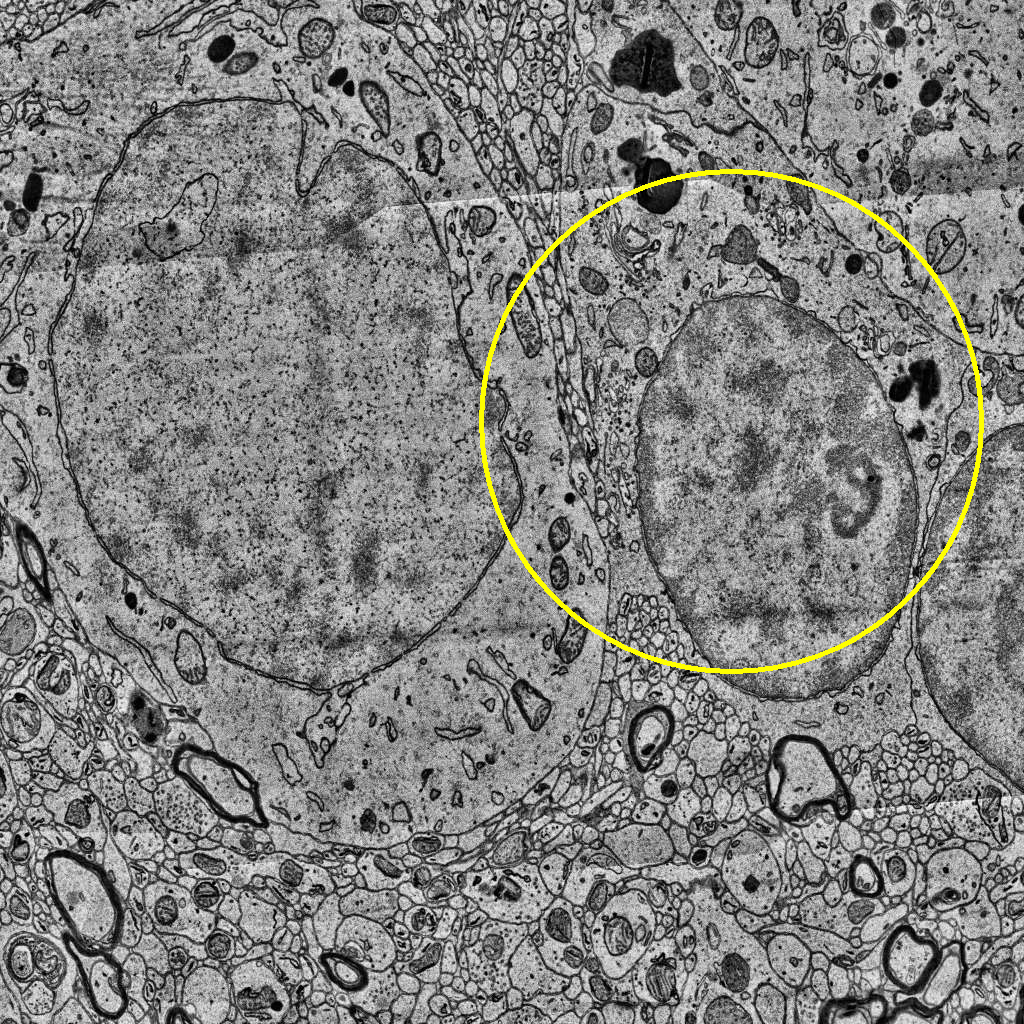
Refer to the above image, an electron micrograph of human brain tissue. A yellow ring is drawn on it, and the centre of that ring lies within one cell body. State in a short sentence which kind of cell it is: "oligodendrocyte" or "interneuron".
The centre of the ring falls on an oligodendrocyte.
